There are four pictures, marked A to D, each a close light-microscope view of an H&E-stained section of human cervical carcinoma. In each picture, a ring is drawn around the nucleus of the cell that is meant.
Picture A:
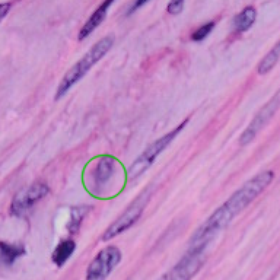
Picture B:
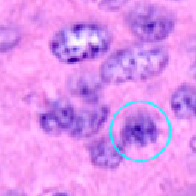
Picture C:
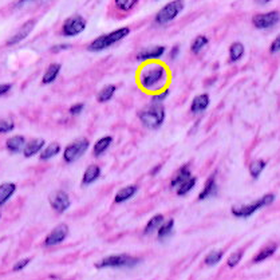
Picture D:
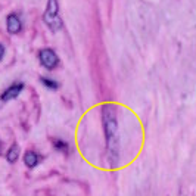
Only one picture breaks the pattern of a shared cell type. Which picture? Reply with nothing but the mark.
B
